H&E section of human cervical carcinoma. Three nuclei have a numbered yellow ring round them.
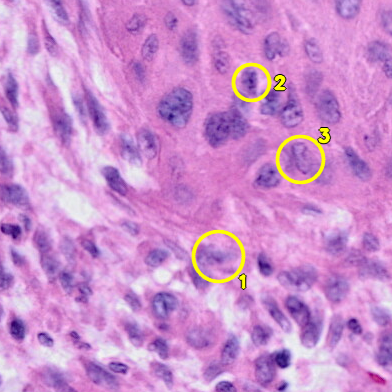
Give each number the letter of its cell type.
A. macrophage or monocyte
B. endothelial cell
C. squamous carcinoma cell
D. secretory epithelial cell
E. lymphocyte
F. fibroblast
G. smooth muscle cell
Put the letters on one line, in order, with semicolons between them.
F; C; C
